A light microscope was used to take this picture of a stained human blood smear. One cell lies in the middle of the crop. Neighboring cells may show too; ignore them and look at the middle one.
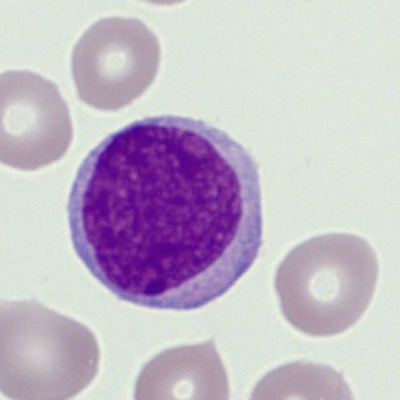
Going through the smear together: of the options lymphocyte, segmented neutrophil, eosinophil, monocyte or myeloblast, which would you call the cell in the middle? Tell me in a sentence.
The identification for the central cell is a myeloblast.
